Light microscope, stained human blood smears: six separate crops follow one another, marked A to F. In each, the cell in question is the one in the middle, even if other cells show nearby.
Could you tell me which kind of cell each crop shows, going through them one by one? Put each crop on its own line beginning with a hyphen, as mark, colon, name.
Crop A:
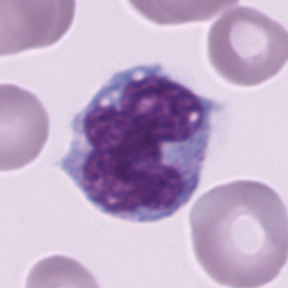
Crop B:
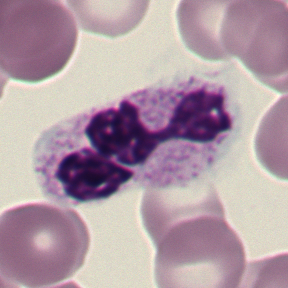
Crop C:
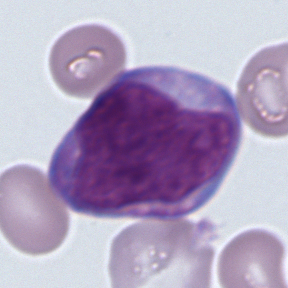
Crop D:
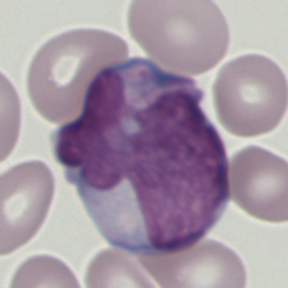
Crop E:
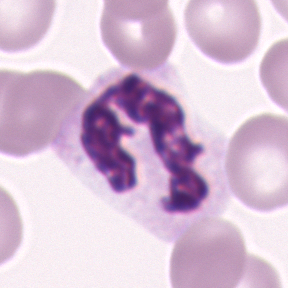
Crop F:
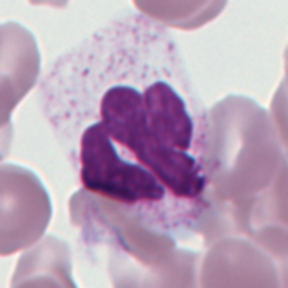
- A: monocyte
- B: segmented neutrophil
- C: atypical promyelocyte
- D: atypical promyelocyte
- E: segmented neutrophil
- F: segmented neutrophil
